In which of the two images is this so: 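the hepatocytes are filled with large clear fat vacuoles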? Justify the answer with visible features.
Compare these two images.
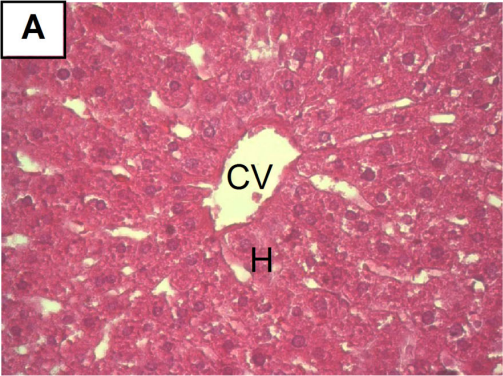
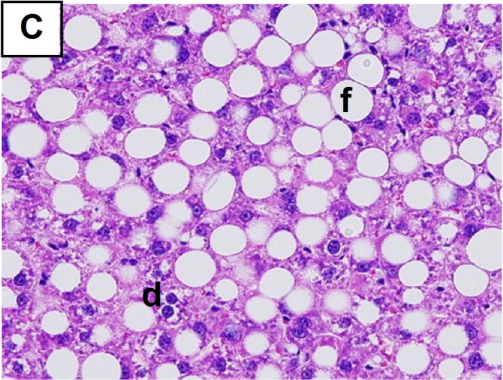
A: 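Second image: most hepatocytes hold large round clear vacuoles. First image: hepatocytes have solid pink cytoplasm without vacuoles. The answer: the second image.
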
